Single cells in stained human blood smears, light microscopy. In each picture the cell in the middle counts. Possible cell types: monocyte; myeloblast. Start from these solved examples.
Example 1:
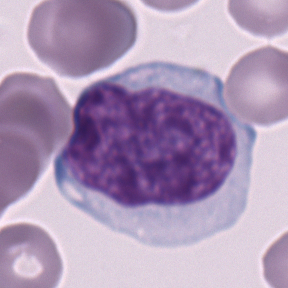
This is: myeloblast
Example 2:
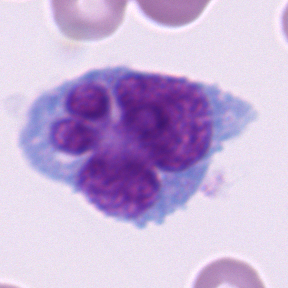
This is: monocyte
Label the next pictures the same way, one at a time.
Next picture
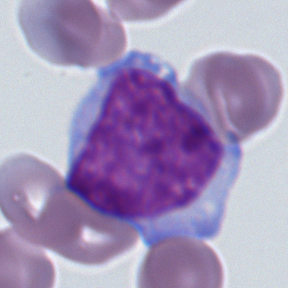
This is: myeloblast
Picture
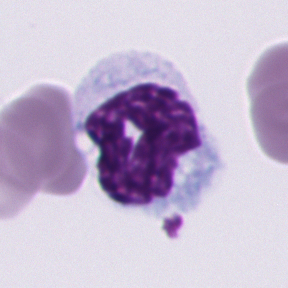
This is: monocyte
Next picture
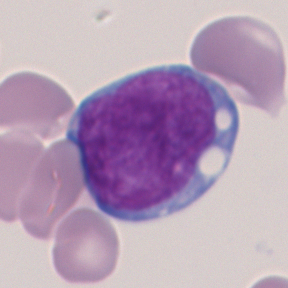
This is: myeloblast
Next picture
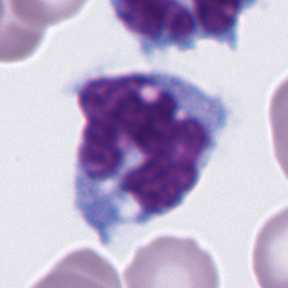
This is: monocyte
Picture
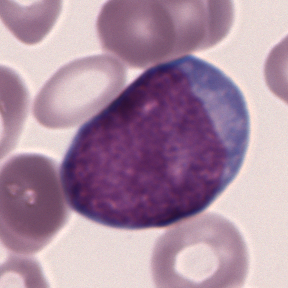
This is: myeloblast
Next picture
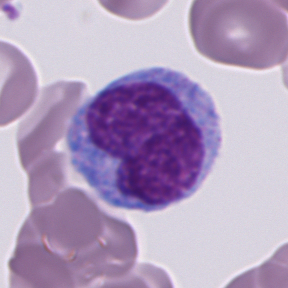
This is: monocyte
